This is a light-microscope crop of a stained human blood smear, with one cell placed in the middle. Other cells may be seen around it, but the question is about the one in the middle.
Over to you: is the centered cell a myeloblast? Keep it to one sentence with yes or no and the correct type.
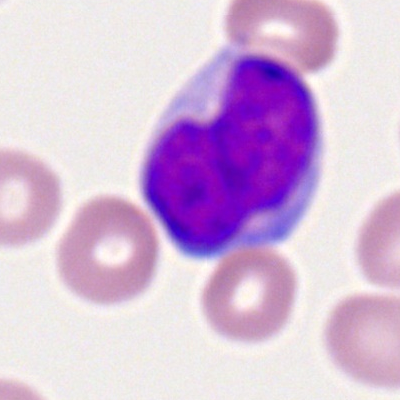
Yes, at the centre of the crop lies a myeloblast.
